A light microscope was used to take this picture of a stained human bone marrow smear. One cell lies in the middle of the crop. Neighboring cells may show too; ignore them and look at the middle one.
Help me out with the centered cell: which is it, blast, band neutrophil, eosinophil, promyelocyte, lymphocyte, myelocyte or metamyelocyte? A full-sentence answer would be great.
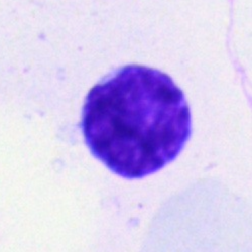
Located at the centre of the crop is a lymphocyte.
